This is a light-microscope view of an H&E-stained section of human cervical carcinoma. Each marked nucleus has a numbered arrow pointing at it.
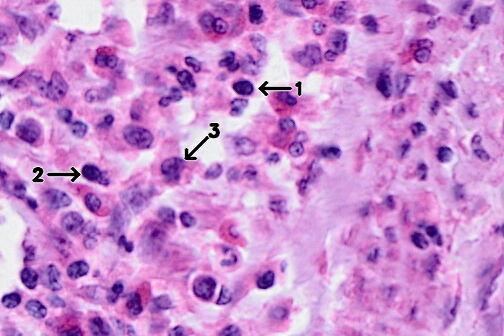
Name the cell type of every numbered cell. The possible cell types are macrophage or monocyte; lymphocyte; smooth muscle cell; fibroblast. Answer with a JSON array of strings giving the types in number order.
["lymphocyte", "lymphocyte", "macrophage or monocyte"]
